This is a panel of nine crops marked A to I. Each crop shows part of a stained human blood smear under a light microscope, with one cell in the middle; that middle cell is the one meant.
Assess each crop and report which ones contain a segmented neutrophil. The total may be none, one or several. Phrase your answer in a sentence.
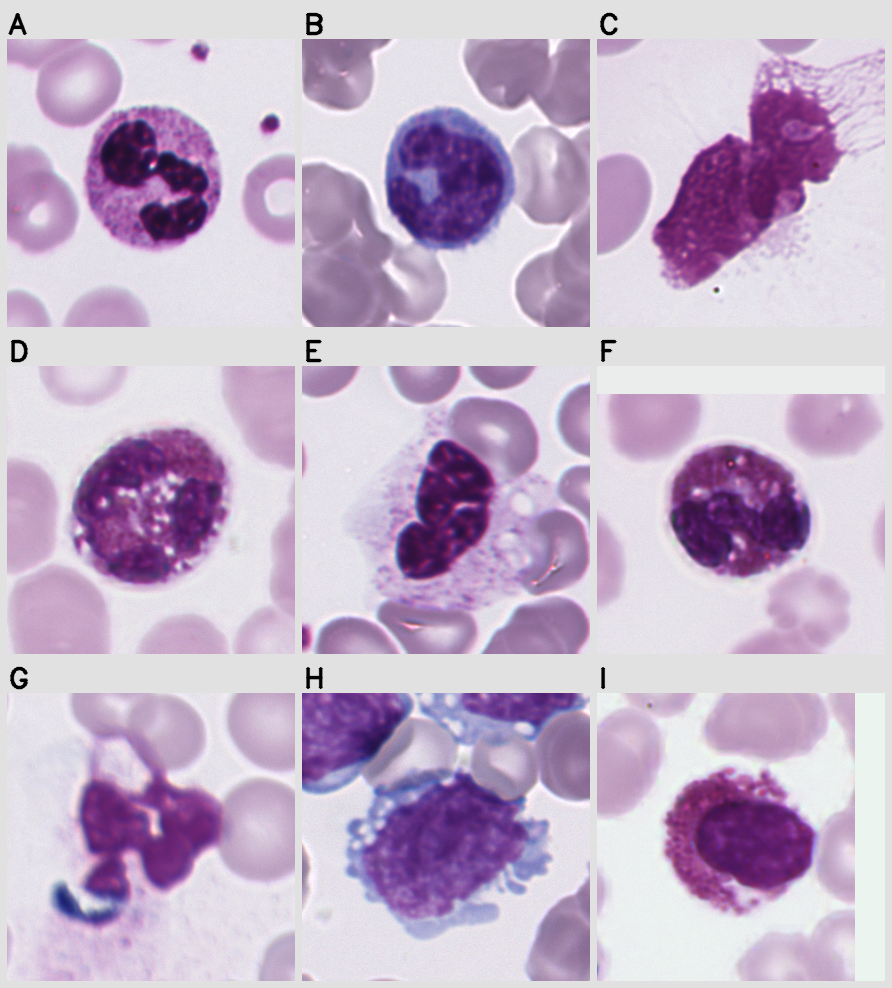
In the series, crops A and E show segmented neutrophils.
